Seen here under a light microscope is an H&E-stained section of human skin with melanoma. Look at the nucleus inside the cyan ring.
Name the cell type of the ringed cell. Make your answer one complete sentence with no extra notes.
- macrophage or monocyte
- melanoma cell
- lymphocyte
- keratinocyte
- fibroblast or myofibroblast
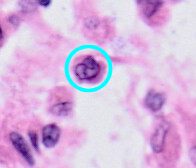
On this particular slide, the ringed cell is a macrophage or monocyte.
